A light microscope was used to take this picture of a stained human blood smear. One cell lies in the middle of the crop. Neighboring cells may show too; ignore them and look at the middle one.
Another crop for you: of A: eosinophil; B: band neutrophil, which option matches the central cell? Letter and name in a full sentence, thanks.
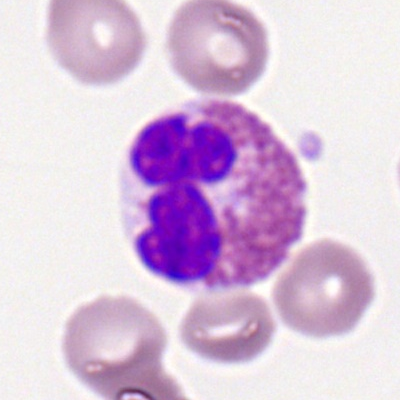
In the centre of the crop there is an eosinophil, making option A correct.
